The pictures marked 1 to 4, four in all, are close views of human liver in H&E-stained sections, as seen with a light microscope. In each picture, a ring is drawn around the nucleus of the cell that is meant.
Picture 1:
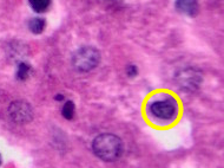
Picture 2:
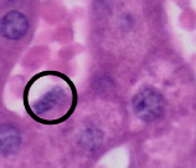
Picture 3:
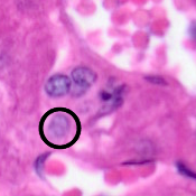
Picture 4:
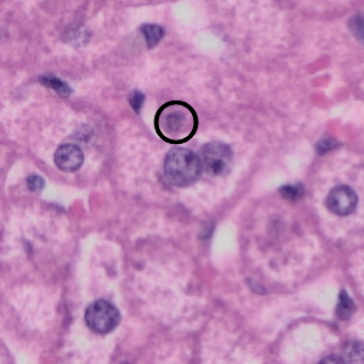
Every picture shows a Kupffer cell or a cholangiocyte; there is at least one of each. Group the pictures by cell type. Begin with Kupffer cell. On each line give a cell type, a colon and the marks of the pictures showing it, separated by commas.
Kupffer cell: 1, 2, 4
cholangiocyte: 3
